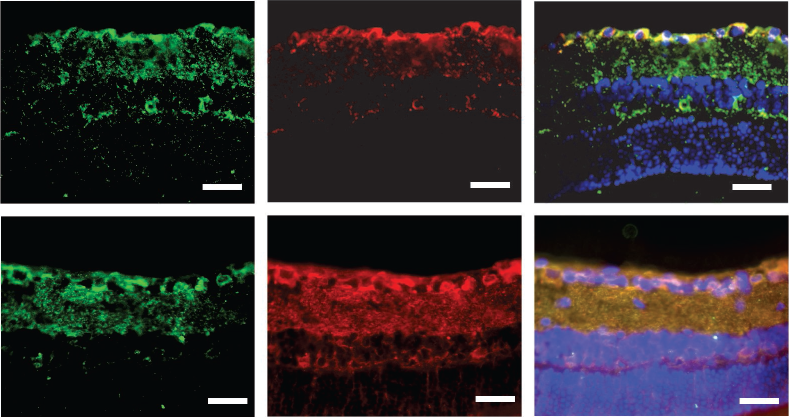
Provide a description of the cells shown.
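Cross-sections of retina show a single row of cells along the inner surface, beneath it a band of fine fibrous labelling, then two thick bands of densely packed blue nuclei. Green labelling is strongest around the cells of the innermost row and extends into the fibrous band, marking the ganglion cell layer above the inner nuclear and outer nuclear layers. In the lower row red labelling spreads through the inner layers, overlapping the green so the merged band appears orange.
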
